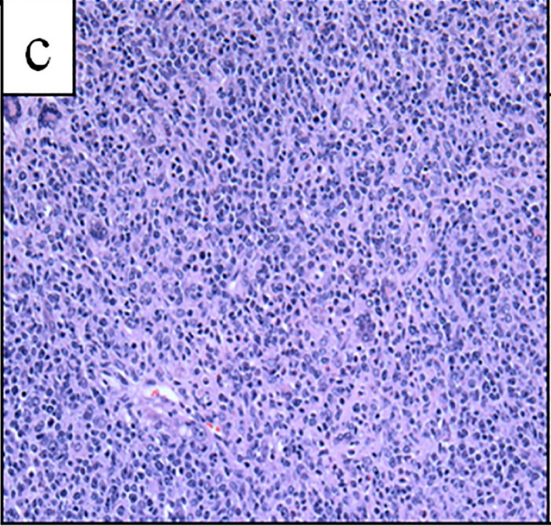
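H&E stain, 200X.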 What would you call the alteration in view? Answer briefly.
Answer: Hematopoietic neoplasia.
